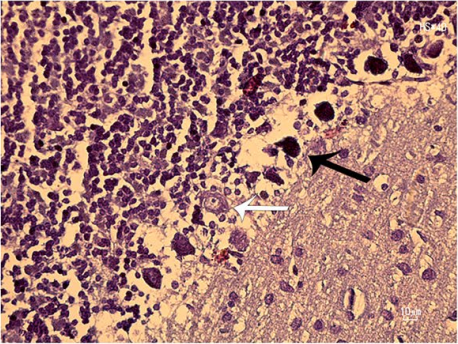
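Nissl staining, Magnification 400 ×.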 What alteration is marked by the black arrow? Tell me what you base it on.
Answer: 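The marked cell is small, shrunken and very darkly stained. Its nucleus cannot be told apart from the dark cytoplasm. It lies at the border between a dense layer of small dark nuclei and a paler fibrous layer. On this evidence: degenerated Purkinje cells.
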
